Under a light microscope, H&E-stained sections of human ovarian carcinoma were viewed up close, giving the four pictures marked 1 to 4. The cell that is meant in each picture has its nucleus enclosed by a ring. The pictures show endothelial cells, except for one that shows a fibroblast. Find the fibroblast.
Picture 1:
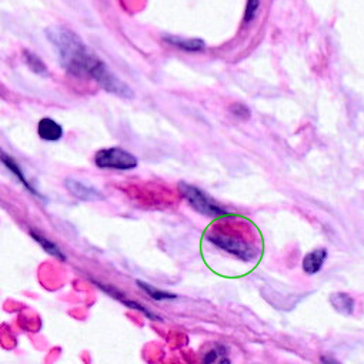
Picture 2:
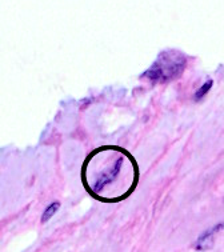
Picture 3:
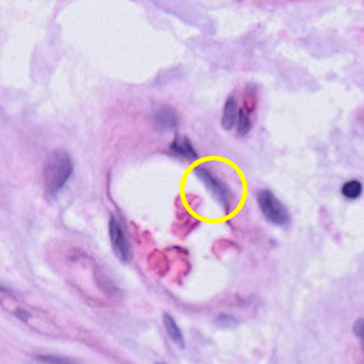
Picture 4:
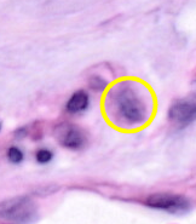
2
